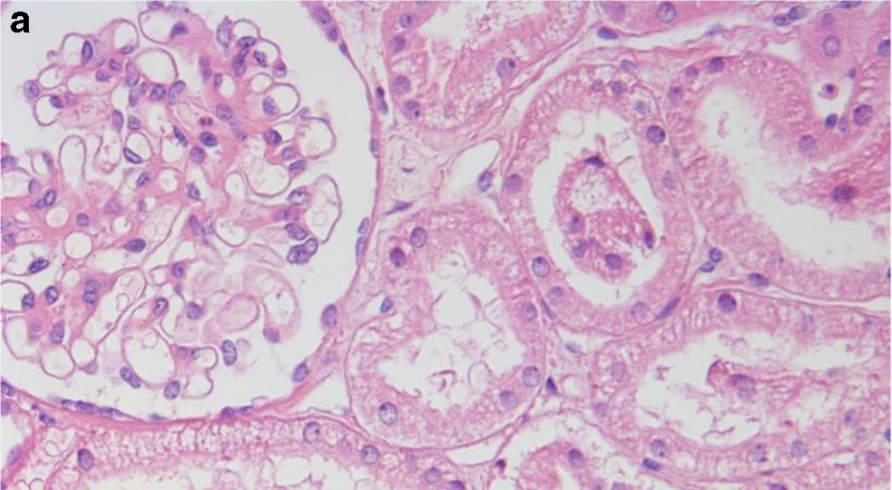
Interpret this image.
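This kidney tissue shows a glomerulus at the upper left and cross-sections of renal tubules around it. The glomerulus shows open capillary loops lined by thin pink walls, with scattered dark purple nuclei, inside a clear space bounded by a thin capsule. The tubules are lined by cuboidal to columnar epithelial cells with round purple nuclei. Their cytoplasm is pale pink and finely vacuolated, and the lumens contain wispy pale material.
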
